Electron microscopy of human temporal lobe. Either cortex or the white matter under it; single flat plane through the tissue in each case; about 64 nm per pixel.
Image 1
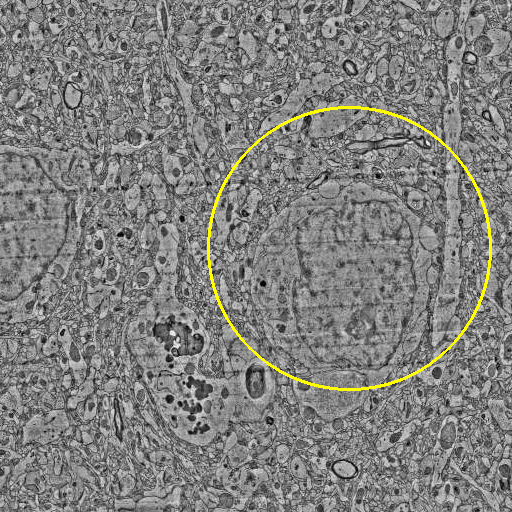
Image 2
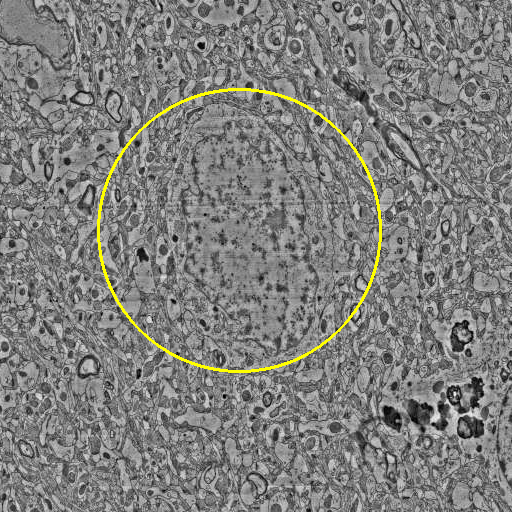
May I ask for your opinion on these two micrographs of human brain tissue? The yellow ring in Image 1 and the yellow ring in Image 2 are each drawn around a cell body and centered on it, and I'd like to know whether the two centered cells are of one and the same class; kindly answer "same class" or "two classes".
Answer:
same class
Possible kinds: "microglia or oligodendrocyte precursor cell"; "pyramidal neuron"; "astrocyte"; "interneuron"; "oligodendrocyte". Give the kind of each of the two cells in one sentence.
Both rings mark an interneuron, one in each picture.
